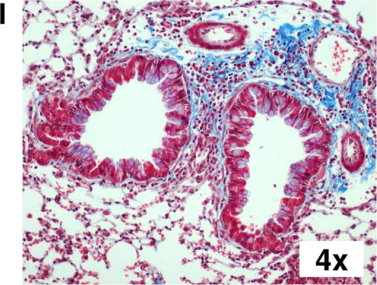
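The airway epithelium is tall and columnar and stains deep red, with dark nuclei toward the base. Blue-staining fibres form bands around the airways and vessels and spread into the tissue between them. The surrounding tissue is dense with nuclei, and one vessel contains red blood cells. Thin-walled alveoli with pink-red septa occupy the periphery of the field.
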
